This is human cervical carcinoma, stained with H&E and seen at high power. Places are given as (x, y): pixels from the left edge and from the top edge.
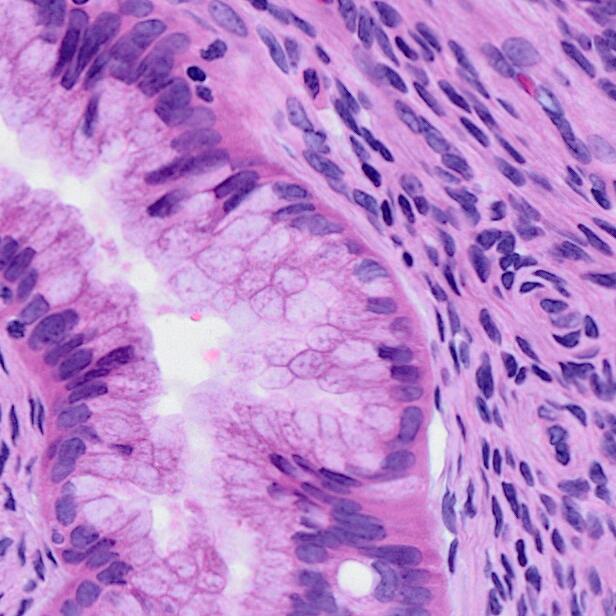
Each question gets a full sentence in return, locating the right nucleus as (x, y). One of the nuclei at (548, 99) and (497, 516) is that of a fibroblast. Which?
Of these two nuclei, it is the one at (497, 516) that belongs to a fibroblast.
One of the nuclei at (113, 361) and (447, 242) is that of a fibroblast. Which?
That would be the nucleus at (447, 242); it belongs to a fibroblast.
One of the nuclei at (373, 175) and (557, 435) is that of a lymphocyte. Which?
The nucleus belonging to a lymphocyte is the one at (373, 175).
